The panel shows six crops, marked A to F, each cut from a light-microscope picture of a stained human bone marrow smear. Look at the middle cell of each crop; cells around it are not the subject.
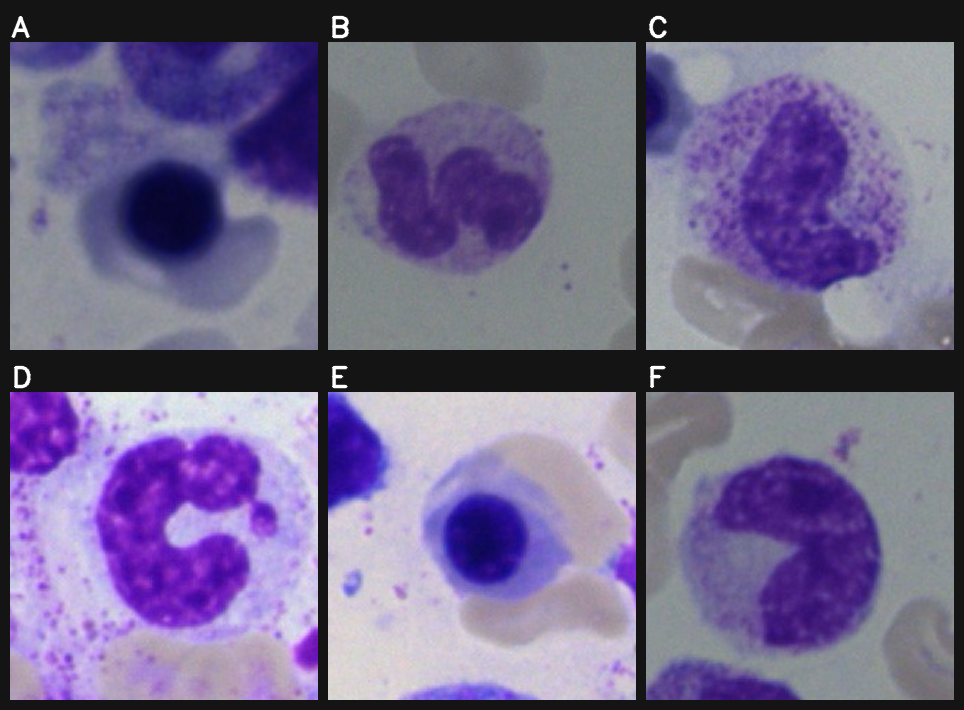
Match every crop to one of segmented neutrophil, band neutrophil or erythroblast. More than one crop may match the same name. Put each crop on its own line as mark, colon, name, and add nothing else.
A: erythroblast
B: segmented neutrophil
C: band neutrophil
D: band neutrophil
E: erythroblast
F: band neutrophil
